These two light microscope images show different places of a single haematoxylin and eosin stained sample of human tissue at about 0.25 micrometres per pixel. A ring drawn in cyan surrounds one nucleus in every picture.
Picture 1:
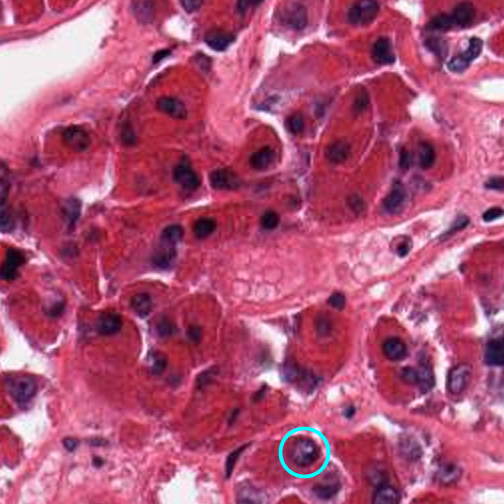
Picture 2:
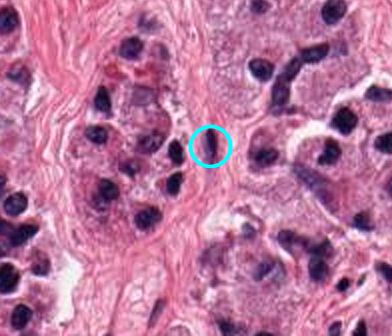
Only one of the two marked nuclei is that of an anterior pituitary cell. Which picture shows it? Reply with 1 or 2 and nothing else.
1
